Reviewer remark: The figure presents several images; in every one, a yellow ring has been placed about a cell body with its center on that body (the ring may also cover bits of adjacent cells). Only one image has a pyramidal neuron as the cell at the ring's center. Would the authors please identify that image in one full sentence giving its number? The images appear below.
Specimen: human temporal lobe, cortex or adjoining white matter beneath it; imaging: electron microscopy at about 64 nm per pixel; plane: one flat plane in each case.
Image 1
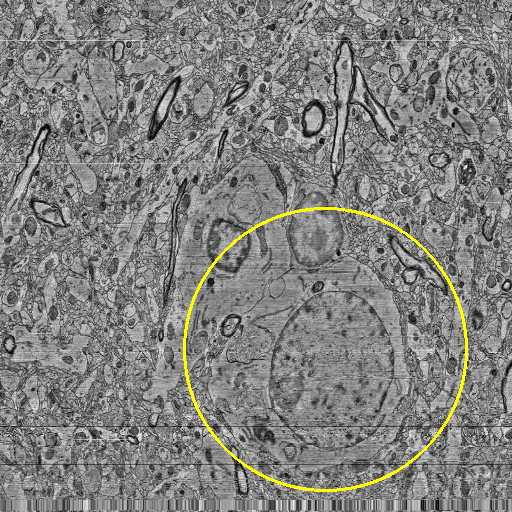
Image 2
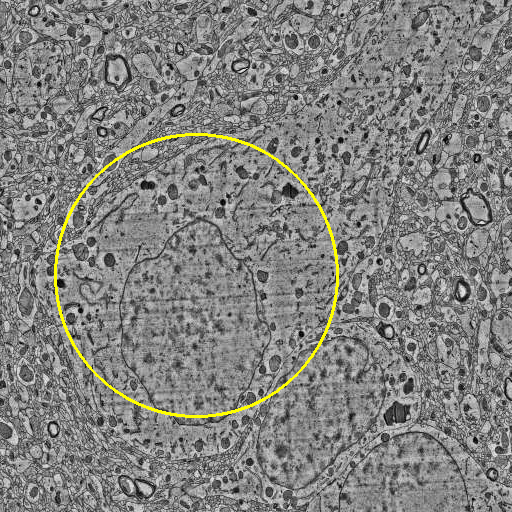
The ring's central cell in image 2 is the one the question describes.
